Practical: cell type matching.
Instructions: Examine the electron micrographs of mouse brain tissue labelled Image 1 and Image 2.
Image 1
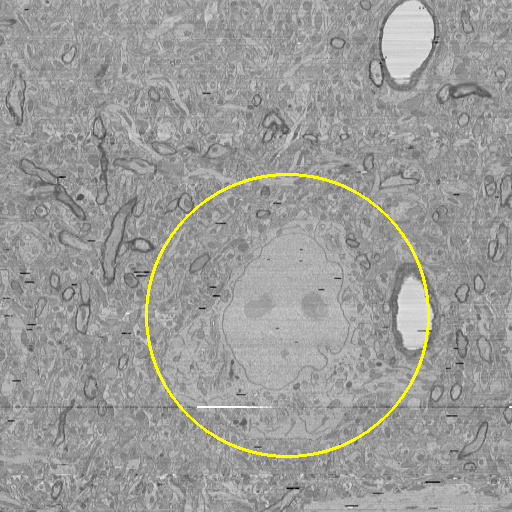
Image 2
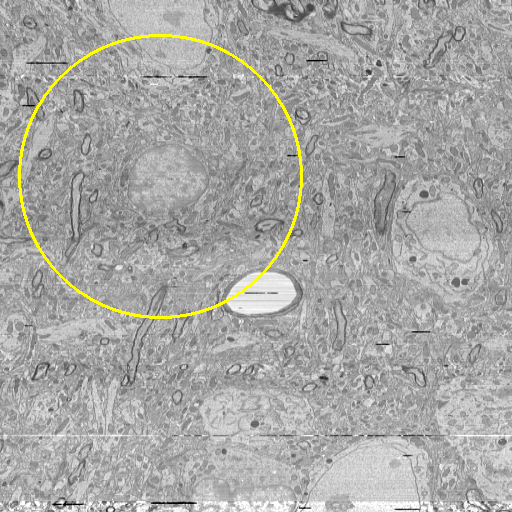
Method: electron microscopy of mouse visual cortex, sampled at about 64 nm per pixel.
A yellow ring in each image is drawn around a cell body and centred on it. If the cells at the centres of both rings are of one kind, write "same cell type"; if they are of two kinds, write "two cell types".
two cell types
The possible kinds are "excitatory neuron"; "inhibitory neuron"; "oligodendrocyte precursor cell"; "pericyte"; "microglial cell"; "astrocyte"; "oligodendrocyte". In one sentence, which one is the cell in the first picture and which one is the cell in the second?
The cell ringed in the second picture is an oligodendrocyte, whereas the one ringed in the first is an excitatory neuron.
